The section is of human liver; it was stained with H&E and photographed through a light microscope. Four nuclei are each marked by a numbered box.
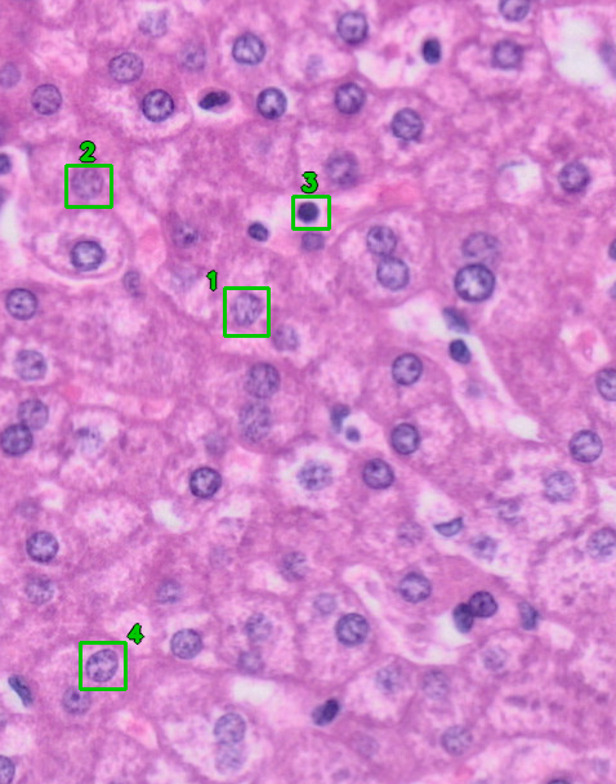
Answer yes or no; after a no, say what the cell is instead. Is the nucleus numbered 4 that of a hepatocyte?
Yes.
